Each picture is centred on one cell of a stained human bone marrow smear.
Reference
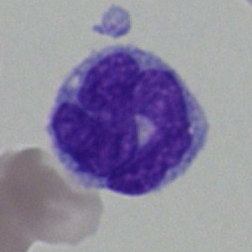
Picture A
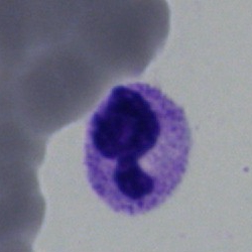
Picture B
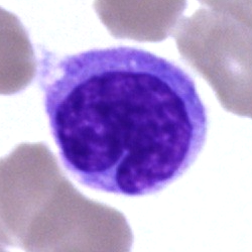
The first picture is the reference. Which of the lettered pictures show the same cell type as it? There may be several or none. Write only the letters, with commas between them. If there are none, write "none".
B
